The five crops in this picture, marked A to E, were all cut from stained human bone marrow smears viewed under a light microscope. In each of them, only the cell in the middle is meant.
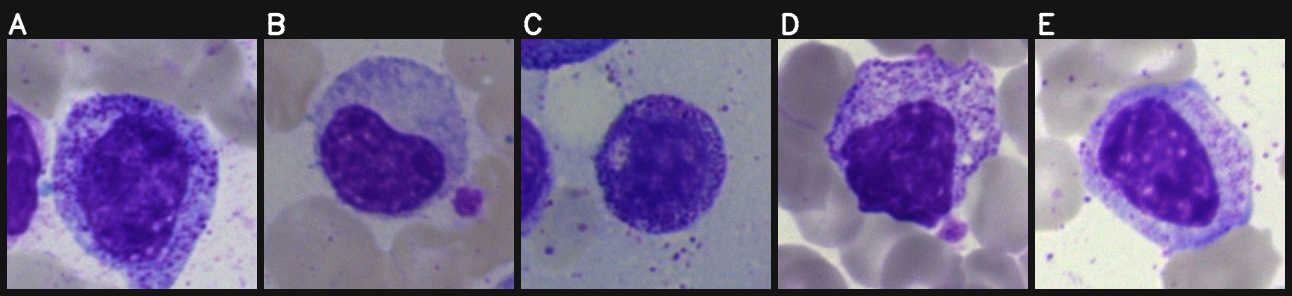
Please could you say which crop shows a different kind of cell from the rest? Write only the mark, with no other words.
B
